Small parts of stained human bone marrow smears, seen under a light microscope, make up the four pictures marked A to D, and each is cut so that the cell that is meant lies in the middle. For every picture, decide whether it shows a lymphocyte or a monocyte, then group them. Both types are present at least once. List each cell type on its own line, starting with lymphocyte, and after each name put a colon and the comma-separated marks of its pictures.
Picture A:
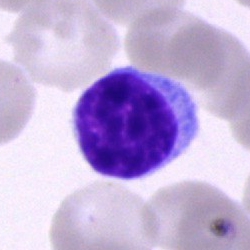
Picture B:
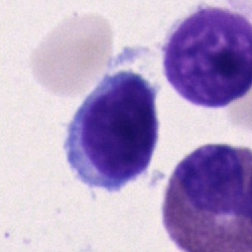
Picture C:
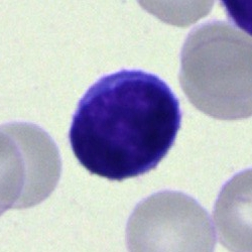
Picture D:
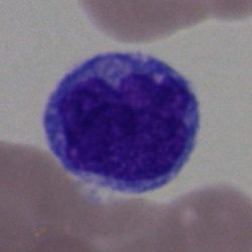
lymphocyte: A, B, C
monocyte: D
